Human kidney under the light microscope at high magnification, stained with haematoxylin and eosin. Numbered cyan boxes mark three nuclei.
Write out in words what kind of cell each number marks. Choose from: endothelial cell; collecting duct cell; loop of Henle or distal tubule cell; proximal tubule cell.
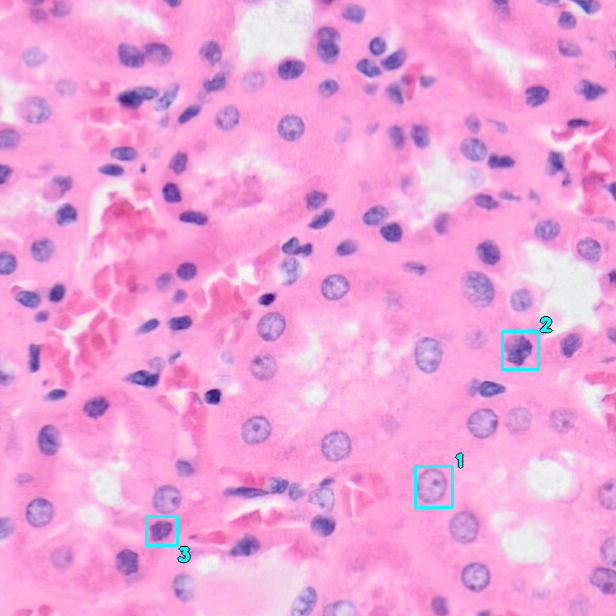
Cell 1 is a proximal tubule cell, cell 2 is a loop of Henle or distal tubule cell and cell 3 is a proximal tubule cell.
